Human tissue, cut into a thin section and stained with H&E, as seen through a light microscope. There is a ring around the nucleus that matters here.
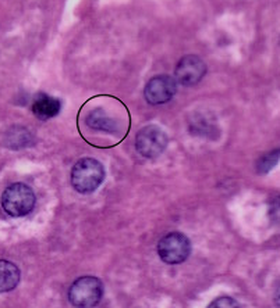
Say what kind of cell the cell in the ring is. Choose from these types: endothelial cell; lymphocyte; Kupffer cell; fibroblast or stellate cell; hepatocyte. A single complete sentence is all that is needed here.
Recorded by type, the cell in the ring is a Kupffer cell.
